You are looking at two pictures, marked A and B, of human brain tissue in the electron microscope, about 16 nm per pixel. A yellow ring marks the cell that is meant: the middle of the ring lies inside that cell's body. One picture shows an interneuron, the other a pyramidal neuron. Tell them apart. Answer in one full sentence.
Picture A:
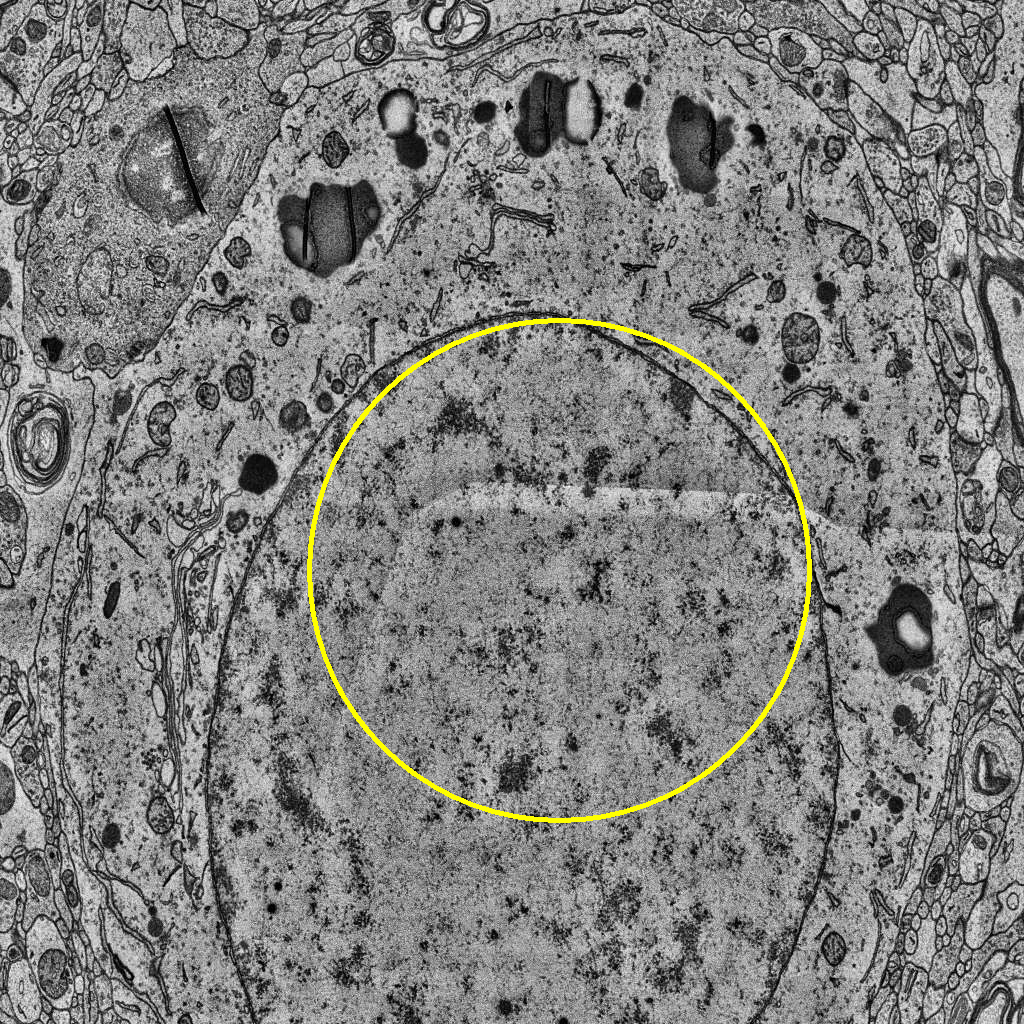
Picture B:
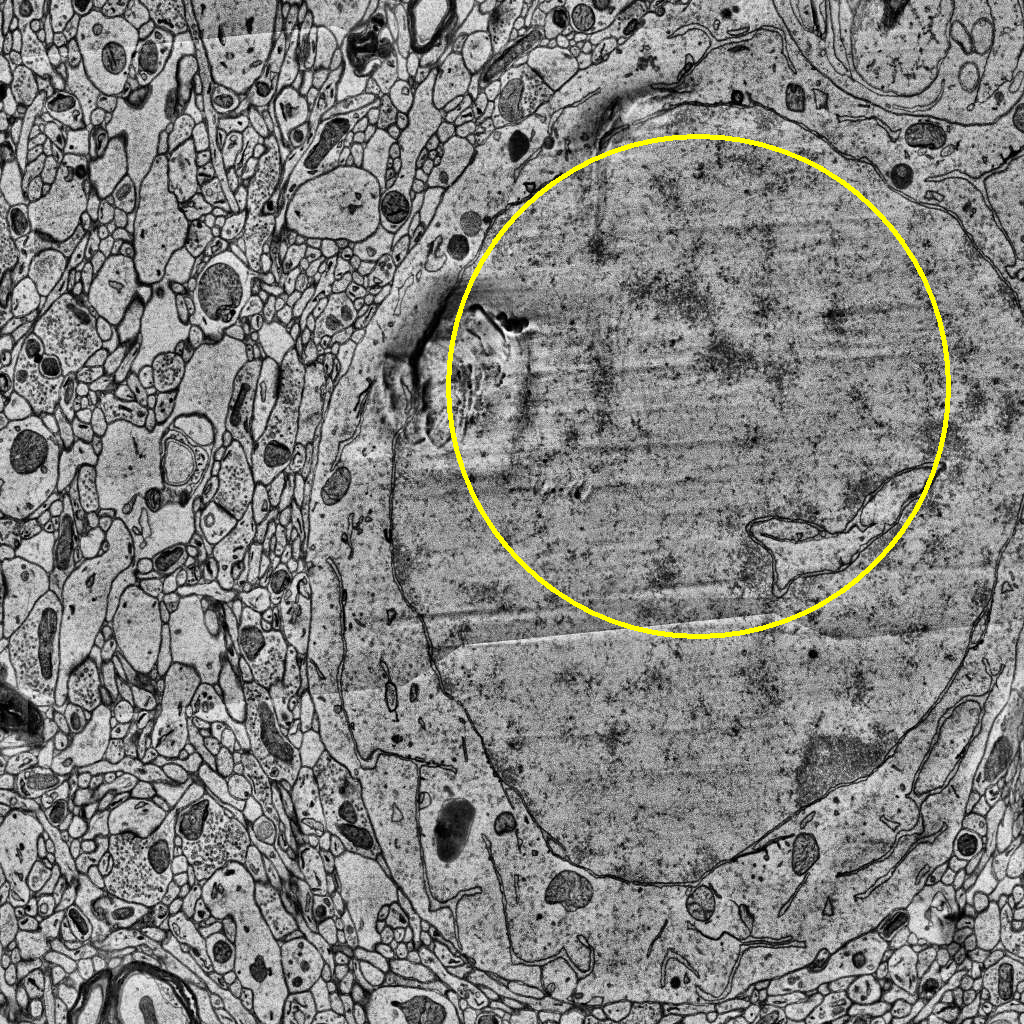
Picture A shows a pyramidal neuron and picture B shows an interneuron.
